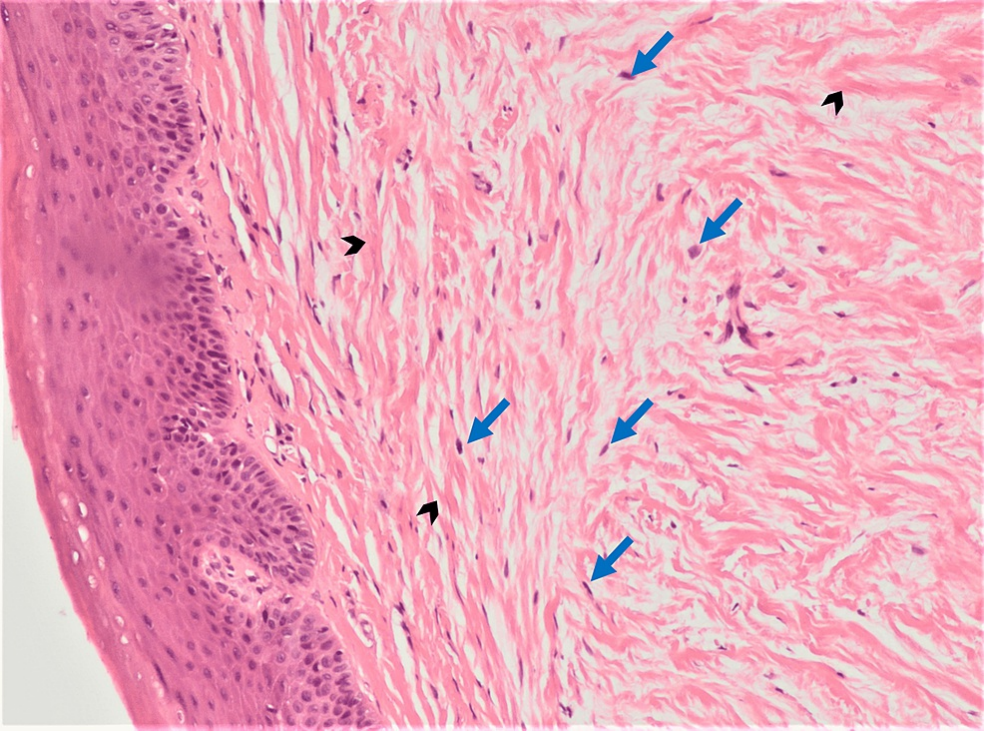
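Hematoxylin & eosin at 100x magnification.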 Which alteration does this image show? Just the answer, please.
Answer: Separated by prominent clefts.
